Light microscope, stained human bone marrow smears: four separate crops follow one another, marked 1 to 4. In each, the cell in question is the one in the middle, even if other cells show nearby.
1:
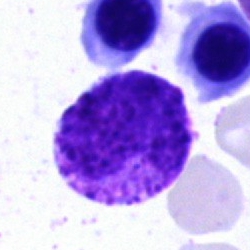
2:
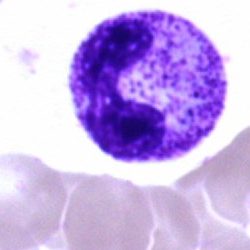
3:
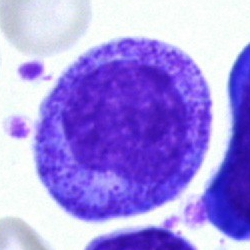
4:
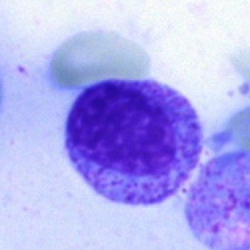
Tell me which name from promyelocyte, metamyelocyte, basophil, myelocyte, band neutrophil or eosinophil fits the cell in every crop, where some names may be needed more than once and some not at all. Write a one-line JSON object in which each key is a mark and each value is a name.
{"1": "basophil", "2": "band neutrophil", "3": "myelocyte", "4": "myelocyte"}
